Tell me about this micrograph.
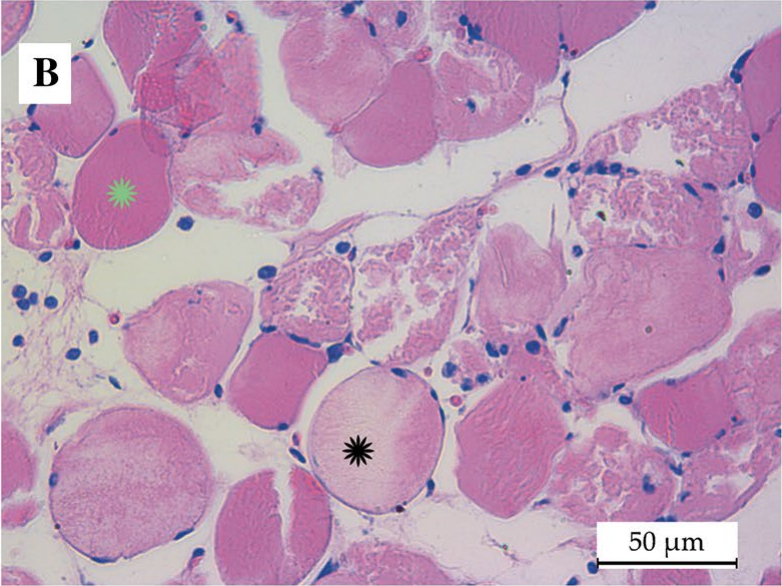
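This cross-section of skeletal muscle shows muscle fibres of varying size and rounded to polygonal outline, stained pink. Some fibres are evenly deep pink with smooth borders, while others are pale, finely granular or fragmented, with patchy loss of staining. Broad clear white spaces separate many of the fibres from one another. Numerous small dark blue nuclei of infiltrating cells lie scattered in these spaces and along thin strands of connective tissue running between the fibres.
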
